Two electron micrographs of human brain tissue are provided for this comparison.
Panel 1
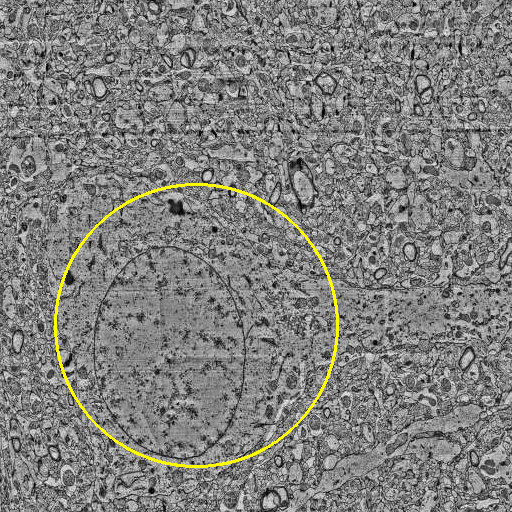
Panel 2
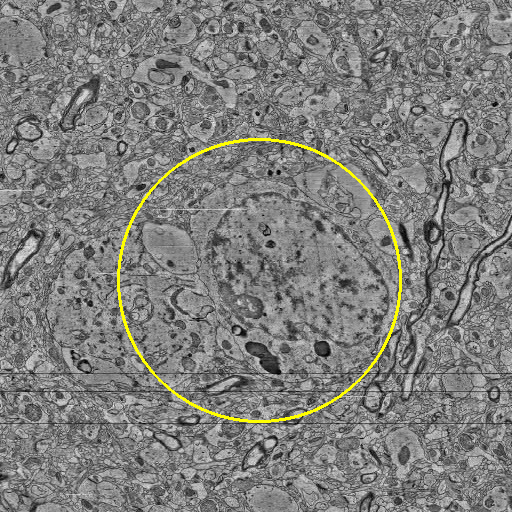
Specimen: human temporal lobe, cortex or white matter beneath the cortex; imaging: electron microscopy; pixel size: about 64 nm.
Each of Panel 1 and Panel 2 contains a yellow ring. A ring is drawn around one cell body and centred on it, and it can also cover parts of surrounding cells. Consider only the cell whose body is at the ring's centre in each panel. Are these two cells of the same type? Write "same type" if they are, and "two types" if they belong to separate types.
two types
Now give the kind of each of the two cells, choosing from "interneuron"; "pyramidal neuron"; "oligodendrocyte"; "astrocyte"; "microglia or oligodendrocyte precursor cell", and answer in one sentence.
The cell in the first picture is a pyramidal neuron, and the cell in the second is an interneuron.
